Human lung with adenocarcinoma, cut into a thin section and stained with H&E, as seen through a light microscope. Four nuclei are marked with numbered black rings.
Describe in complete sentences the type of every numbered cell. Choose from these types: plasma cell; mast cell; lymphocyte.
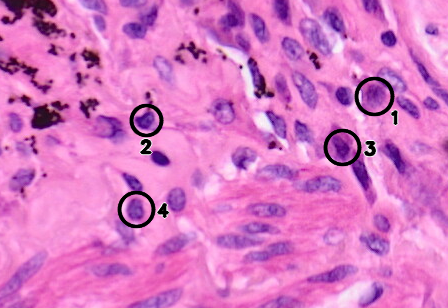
Cell 1 is a plasma cell, cell 2 is a lymphocyte, cell 3 is a plasma cell and cell 4 is a mast cell.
